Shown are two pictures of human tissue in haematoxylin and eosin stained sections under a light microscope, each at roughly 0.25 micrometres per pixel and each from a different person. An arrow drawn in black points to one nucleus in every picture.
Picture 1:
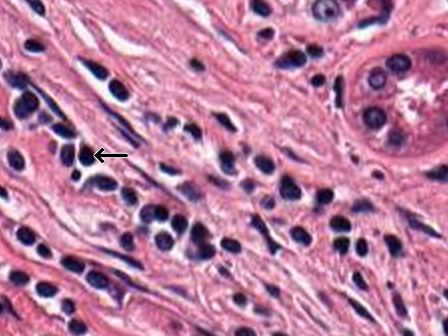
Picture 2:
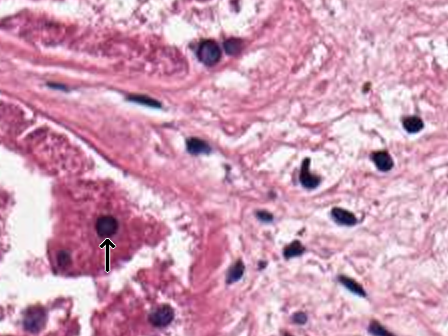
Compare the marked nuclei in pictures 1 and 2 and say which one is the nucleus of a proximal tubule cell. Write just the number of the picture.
2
